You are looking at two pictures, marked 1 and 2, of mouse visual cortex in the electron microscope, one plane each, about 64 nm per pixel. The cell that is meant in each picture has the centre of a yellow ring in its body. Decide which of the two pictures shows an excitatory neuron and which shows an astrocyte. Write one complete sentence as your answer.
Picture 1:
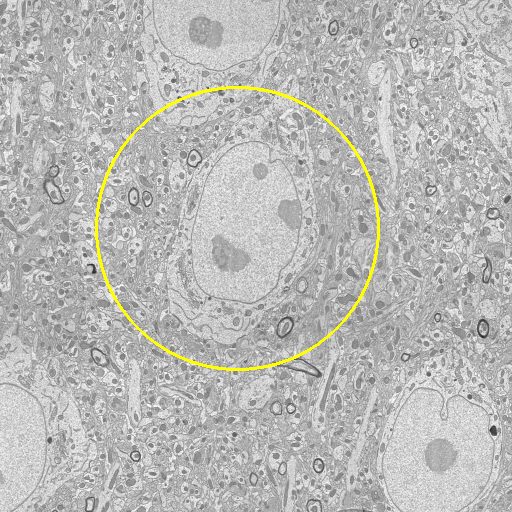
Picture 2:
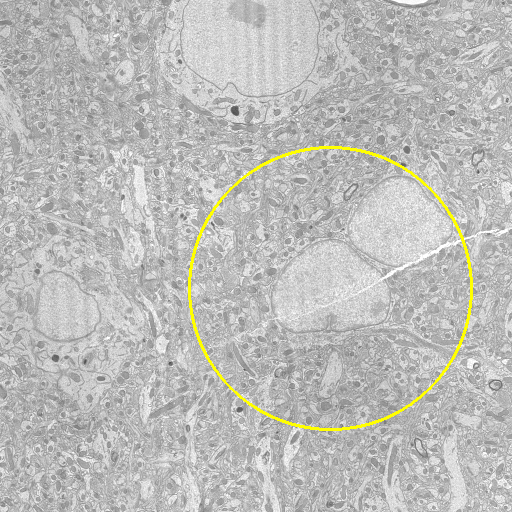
In picture 1 the cell is an excitatory neuron; in picture 2, an astrocyte.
